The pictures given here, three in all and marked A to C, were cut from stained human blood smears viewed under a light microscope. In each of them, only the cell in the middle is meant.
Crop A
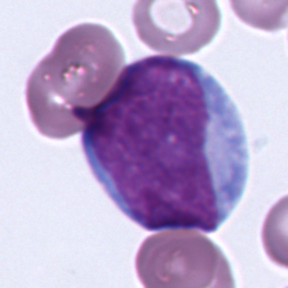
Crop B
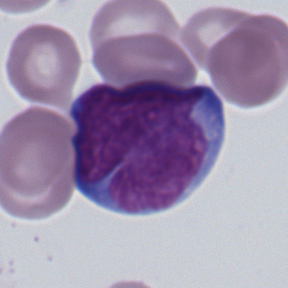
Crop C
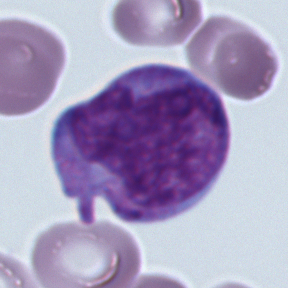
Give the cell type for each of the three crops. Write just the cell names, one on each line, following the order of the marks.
myeloblast
myeloblast
atypical promyelocyte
